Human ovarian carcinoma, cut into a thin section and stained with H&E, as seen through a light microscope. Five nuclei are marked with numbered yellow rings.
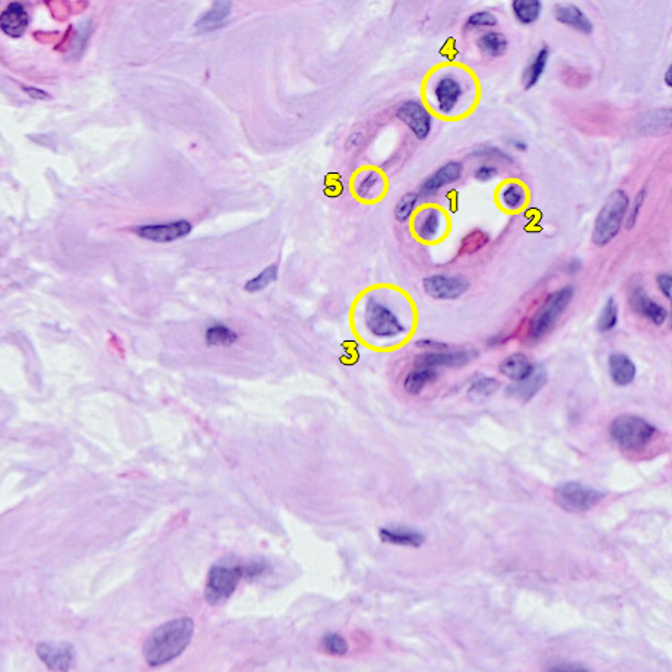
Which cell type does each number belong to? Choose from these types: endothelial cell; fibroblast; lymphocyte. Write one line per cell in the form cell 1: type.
cell 1: endothelial cell
cell 2: endothelial cell
cell 3: fibroblast
cell 4: lymphocyte
cell 5: endothelial cell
